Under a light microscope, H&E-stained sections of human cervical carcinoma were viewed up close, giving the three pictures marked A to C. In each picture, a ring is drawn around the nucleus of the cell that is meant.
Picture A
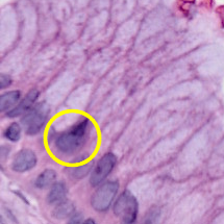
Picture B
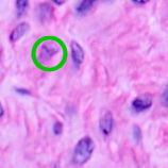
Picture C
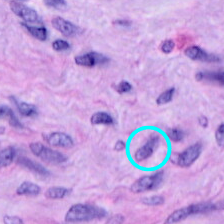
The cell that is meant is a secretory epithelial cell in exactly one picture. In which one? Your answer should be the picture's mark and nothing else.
A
